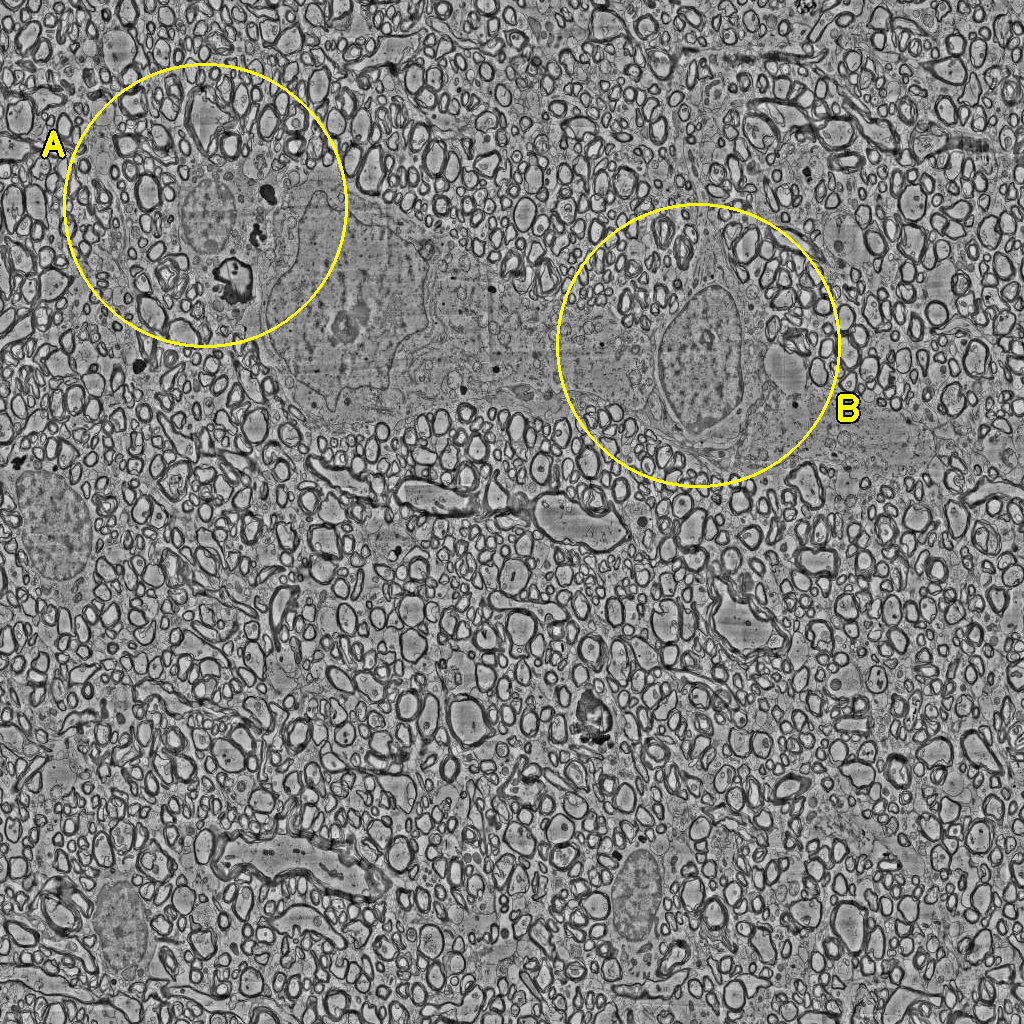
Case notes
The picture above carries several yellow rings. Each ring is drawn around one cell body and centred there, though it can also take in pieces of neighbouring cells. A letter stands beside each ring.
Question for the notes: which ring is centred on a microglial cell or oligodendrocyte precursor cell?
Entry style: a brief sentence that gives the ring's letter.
Ring B is centred on it.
